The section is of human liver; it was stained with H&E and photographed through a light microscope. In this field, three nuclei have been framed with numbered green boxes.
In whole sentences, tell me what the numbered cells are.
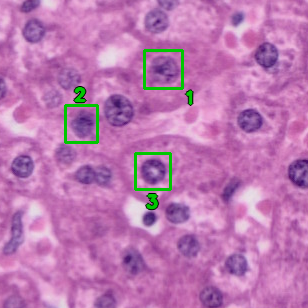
Cells 1 and 3 are hepatocytes. Cell 2 is a fibroblast or stellate cell.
